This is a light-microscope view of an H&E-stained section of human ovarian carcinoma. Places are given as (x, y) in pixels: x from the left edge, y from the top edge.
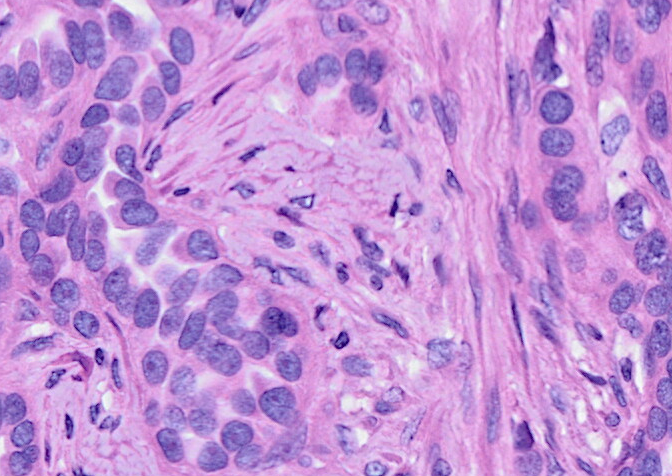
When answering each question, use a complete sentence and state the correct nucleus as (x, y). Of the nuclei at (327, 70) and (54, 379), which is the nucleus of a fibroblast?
The nucleus at (54, 379) is part of a fibroblast, while the other is not.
